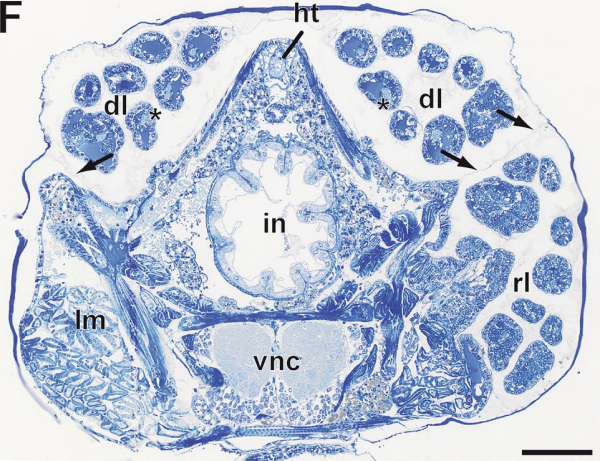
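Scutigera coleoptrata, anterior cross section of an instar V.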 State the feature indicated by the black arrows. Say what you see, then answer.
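The arrows point to fine lines between groups of rounded leg profiles. The lines are much thinner than the outer body wall. On this evidence: A thin membrane.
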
